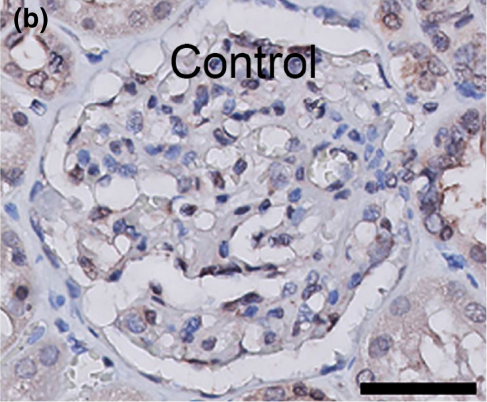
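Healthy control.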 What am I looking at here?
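A glomerulus sits in the centre as a rounded tuft of open capillary loops, surrounded by a thin capsule with a narrow clear space between tuft and capsule. Within the tuft, small blue-purple nuclei line and lie between the capillary loops, some with light brown cytoplasm around them. Outside the capsule, sections of tubules with larger round nuclei and brownish cytoplasm fill the corners.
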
